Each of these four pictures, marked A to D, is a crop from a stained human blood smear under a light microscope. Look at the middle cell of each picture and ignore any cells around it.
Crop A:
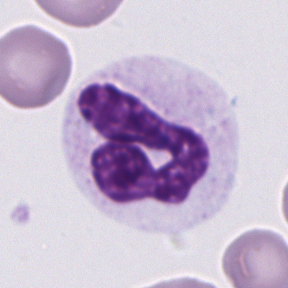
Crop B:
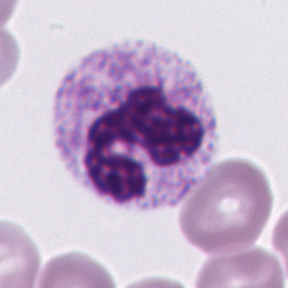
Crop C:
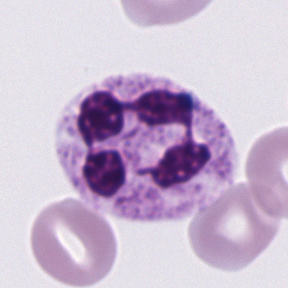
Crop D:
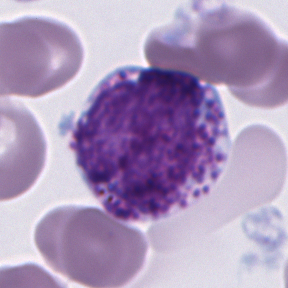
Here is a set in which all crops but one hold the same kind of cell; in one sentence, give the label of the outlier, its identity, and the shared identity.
The exception in this group is crop D, a basophil, and the others are all segmented neutrophils.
